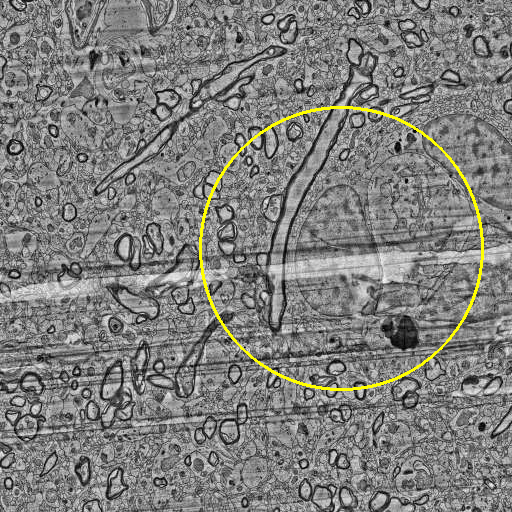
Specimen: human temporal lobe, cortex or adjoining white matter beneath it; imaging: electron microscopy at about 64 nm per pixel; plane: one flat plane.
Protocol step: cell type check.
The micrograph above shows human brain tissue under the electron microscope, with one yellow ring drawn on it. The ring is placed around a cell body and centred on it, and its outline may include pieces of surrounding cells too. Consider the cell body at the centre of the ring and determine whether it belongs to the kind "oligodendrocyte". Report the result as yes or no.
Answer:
yes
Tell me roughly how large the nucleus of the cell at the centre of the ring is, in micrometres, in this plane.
In this plane the nucleus is about 9 micrometres by 6.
